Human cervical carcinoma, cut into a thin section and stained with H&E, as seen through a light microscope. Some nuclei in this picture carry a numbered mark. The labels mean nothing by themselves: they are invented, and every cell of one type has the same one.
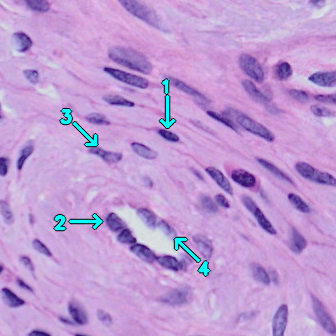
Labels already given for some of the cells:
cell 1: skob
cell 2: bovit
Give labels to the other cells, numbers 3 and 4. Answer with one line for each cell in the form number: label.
3: skob
4: bovit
